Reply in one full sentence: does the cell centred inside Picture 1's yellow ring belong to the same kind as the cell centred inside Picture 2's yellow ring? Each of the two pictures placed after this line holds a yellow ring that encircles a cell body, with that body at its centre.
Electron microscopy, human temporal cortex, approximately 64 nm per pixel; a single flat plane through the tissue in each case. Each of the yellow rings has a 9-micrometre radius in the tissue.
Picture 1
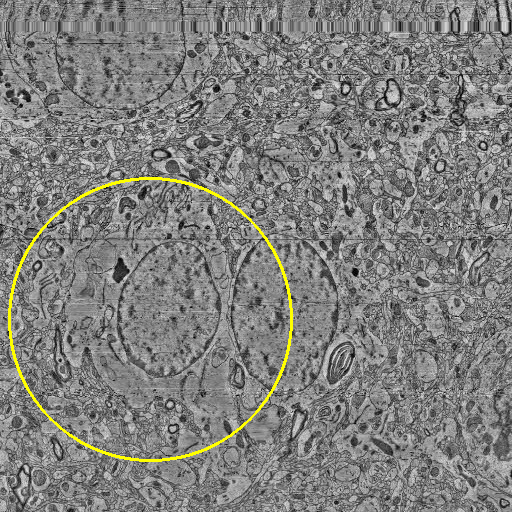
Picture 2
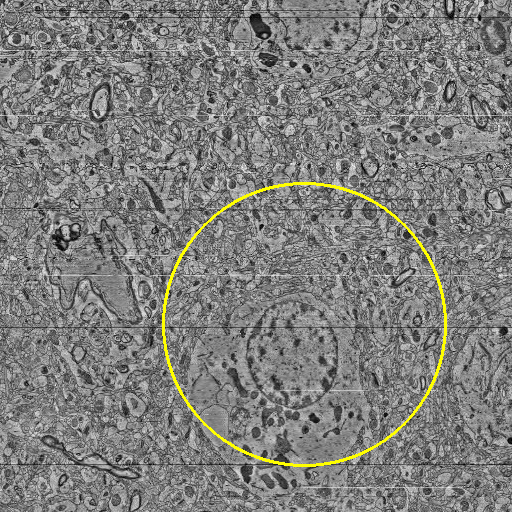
Yes, the ring-centred cells in Picture 1 and Picture 2 are of one and the same kind.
